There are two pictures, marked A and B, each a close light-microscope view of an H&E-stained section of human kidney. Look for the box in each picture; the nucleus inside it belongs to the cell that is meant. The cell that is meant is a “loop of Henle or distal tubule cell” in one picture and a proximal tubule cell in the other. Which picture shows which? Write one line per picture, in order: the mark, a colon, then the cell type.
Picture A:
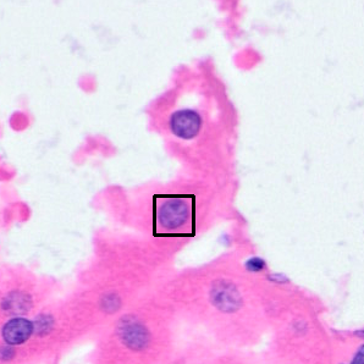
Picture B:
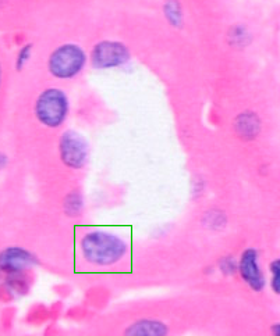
A: proximal tubule cell
B: loop of Henle or distal tubule cell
